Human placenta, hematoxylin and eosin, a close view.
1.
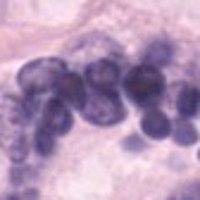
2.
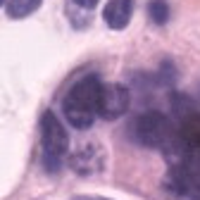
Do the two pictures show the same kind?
Yes, both are syncytial knots.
